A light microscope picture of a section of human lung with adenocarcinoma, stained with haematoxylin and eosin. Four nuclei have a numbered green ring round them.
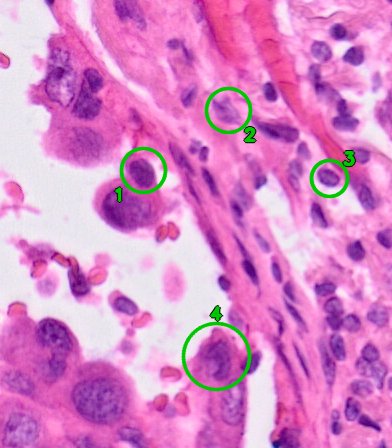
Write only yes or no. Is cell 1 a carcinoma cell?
yes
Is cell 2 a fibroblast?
yes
